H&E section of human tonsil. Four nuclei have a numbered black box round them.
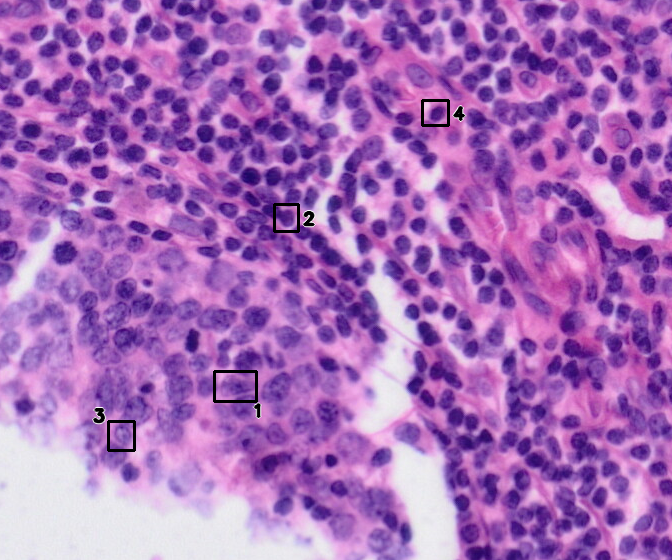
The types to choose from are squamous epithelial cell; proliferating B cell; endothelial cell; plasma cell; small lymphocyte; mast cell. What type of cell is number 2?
small lymphocyte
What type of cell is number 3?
proliferating B cell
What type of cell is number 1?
proliferating B cell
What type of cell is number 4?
endothelial cell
